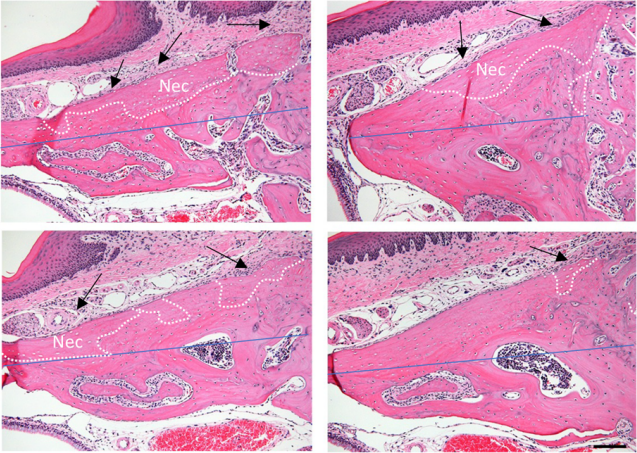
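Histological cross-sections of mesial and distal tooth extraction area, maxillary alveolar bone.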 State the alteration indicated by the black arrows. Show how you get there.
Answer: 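The black arrows point into connective tissue lying between the surface epithelium and the bone. The tissue at the arrow tips holds scattered small dark nuclei.
Conclusion: inflammation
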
